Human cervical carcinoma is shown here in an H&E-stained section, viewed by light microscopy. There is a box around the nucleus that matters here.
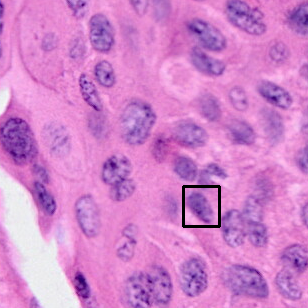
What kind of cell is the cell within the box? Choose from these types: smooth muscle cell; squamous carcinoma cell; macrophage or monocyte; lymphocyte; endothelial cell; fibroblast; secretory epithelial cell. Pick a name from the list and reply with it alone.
squamous carcinoma cell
